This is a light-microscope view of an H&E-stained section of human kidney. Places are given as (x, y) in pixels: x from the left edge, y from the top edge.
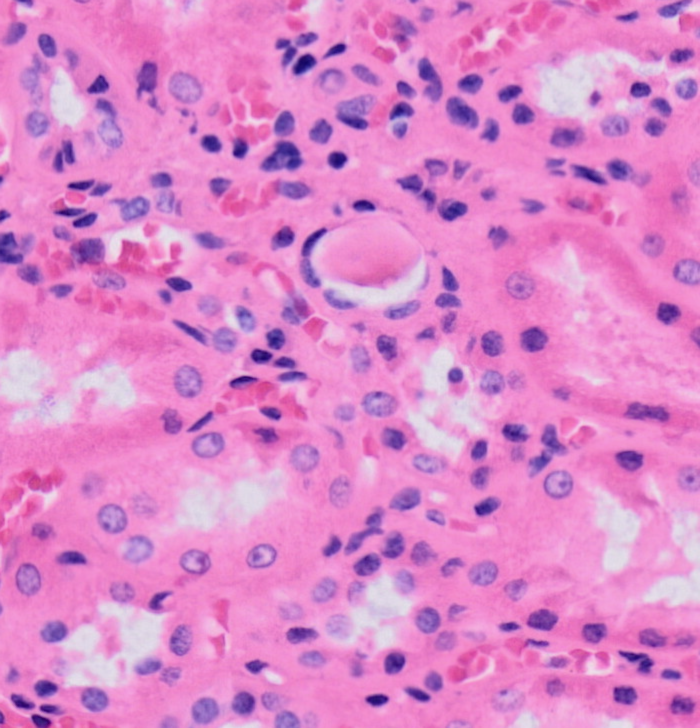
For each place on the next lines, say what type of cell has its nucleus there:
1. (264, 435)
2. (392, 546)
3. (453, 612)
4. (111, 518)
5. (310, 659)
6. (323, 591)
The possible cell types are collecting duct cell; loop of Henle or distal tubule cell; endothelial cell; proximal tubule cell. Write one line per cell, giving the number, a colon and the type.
1: proximal tubule cell
2: loop of Henle or distal tubule cell
3: loop of Henle or distal tubule cell
4: proximal tubule cell
5: loop of Henle or distal tubule cell
6: loop of Henle or distal tubule cell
